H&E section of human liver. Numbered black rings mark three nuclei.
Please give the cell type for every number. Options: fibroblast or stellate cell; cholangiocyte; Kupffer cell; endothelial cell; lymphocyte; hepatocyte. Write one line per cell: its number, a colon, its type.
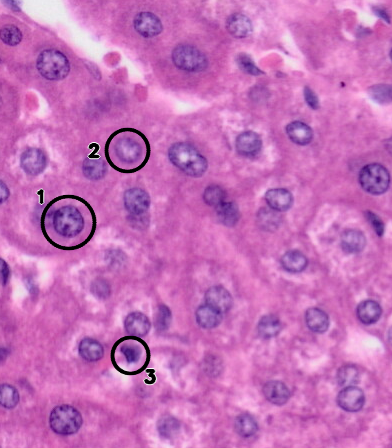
1: hepatocyte
2: hepatocyte
3: fibroblast or stellate cell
